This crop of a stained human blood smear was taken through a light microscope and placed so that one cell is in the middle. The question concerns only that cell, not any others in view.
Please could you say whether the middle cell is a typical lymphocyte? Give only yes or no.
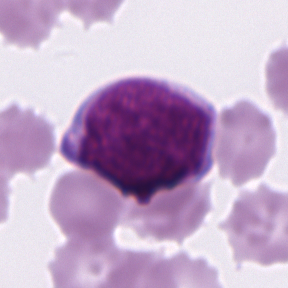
no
